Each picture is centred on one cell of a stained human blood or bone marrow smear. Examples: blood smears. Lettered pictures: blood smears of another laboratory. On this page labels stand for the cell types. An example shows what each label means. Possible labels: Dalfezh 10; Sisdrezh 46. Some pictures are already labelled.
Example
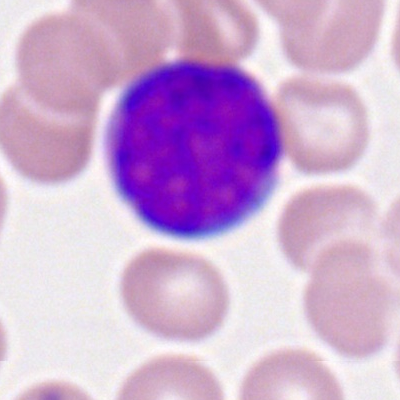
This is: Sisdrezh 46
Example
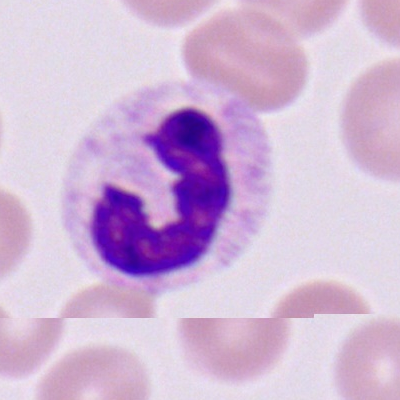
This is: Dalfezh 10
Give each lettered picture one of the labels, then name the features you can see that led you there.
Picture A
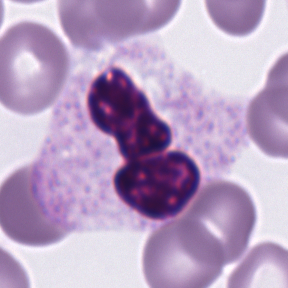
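Dalfezh 10. Reason: The cytoplasm is abundant and pale pinkish-lilac.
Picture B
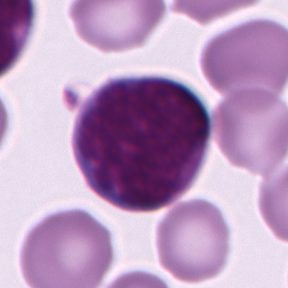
Sisdrezh 46. Reason: The nucleus fills almost the whole cell, leaving only a very thin rim of cytoplasm.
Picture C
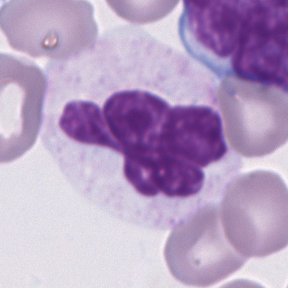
Dalfezh 10. Reason: The cytoplasm is plentiful and very pale, with only a faint lilac tint.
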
